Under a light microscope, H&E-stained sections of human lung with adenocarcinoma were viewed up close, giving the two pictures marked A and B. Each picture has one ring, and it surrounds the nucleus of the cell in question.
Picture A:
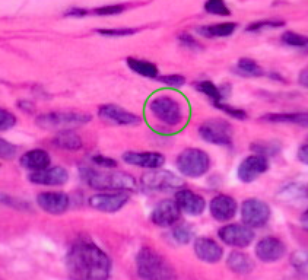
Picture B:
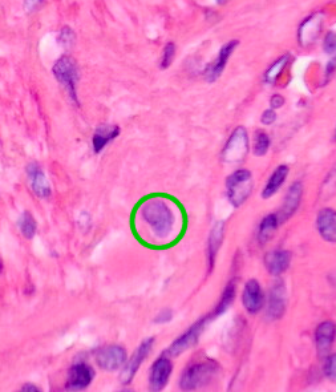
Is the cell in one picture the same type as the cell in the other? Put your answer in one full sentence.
No. Picture A shows a mast cell, but picture B shows a fibroblast.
